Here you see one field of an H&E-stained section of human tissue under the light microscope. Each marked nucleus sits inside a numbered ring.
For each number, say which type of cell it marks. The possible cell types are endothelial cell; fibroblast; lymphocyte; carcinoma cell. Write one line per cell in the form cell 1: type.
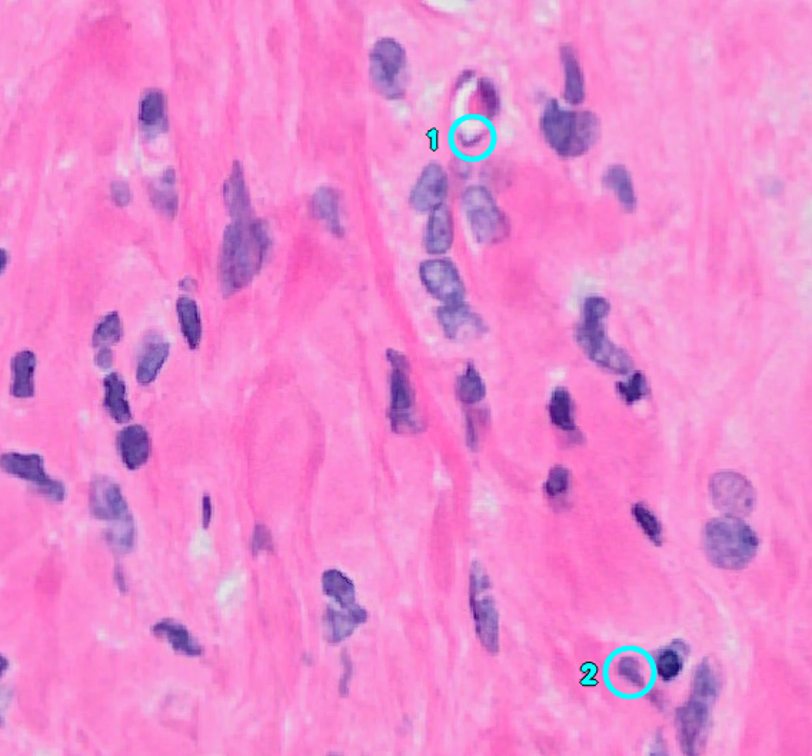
cell 1: endothelial cell
cell 2: lymphocyte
